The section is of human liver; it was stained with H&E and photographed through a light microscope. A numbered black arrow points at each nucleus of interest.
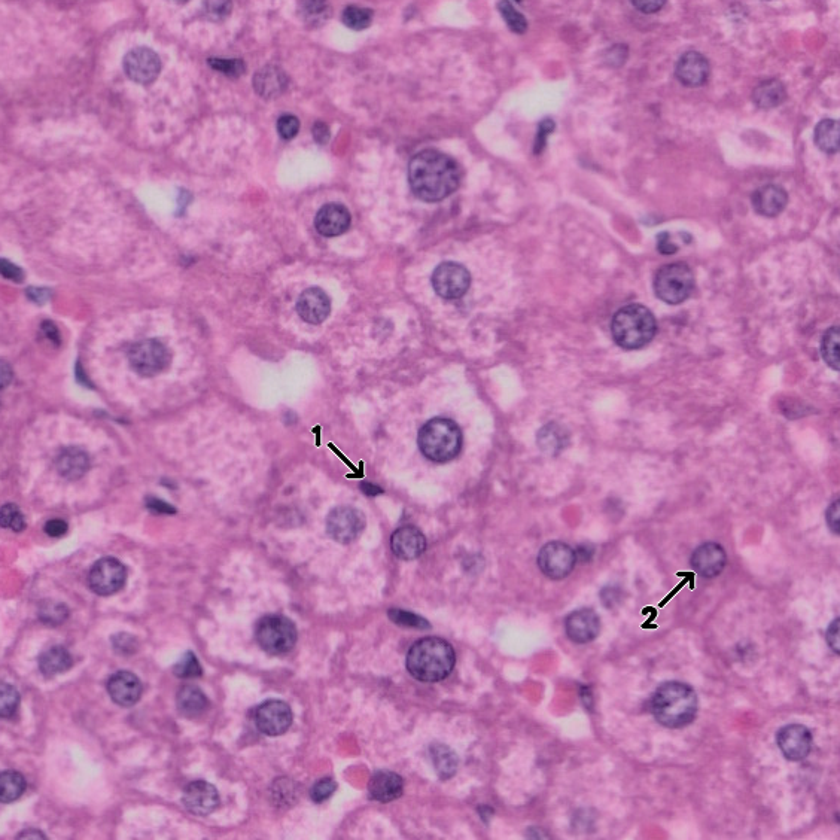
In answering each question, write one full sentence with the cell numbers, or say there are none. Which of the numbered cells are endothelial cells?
Answering directly: no endothelial cells are among the numbered cells.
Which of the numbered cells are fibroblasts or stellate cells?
In contrast to the remaining marked cells, cell 1 is a fibroblast or stellate cell.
